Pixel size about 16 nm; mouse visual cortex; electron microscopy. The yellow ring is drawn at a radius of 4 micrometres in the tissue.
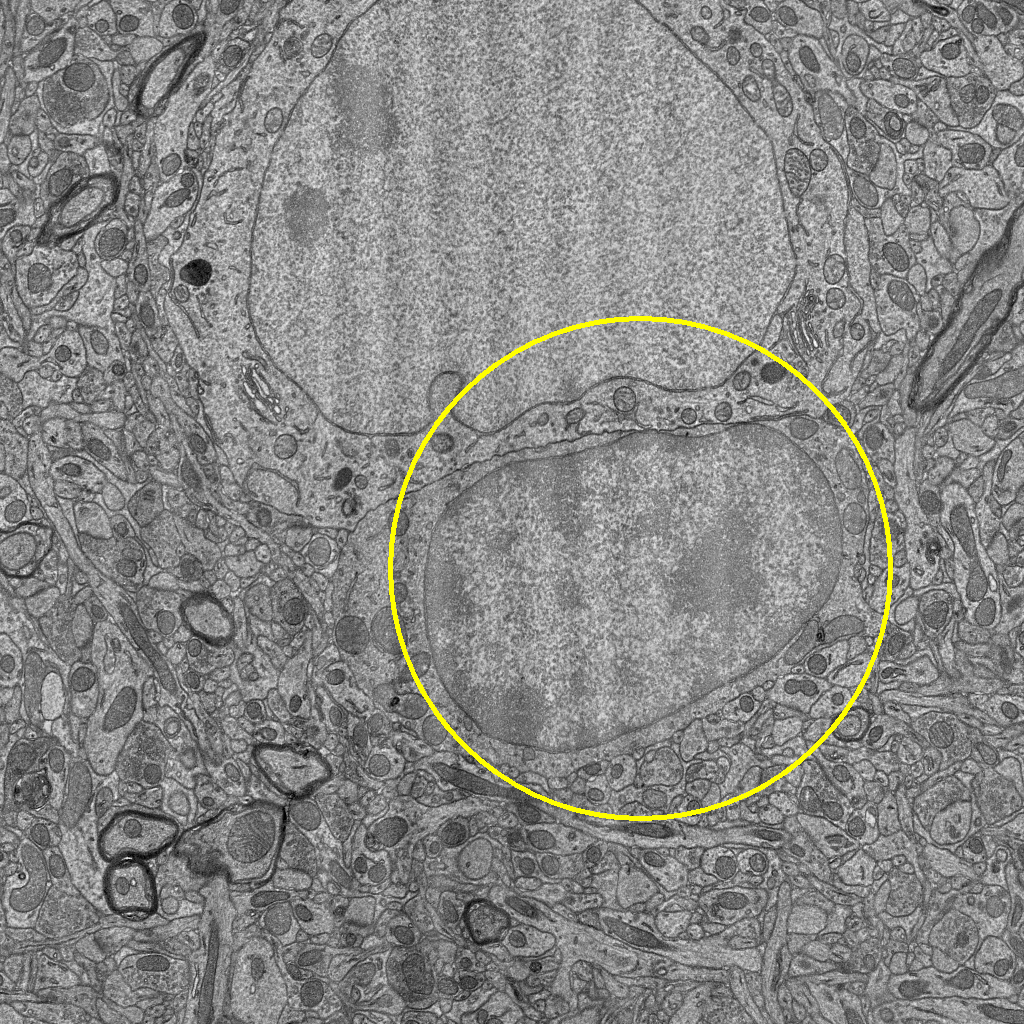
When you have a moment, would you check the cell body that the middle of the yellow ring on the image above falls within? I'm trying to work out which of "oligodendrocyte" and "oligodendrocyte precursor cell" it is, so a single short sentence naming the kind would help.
This cell body belongs to an oligodendrocyte.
